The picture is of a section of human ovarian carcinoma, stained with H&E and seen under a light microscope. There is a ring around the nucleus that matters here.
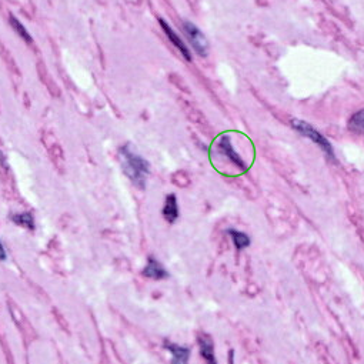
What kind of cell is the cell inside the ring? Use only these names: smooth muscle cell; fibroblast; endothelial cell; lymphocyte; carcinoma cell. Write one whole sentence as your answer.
On this particular slide, the cell inside the ring is a fibroblast.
